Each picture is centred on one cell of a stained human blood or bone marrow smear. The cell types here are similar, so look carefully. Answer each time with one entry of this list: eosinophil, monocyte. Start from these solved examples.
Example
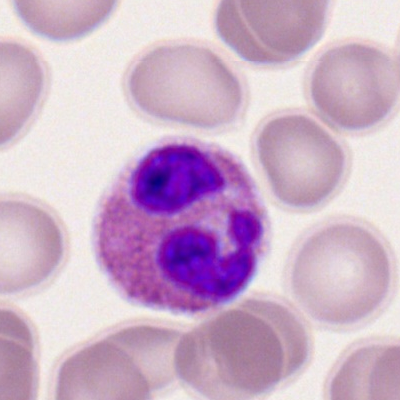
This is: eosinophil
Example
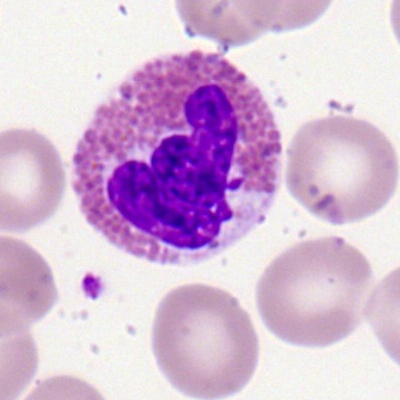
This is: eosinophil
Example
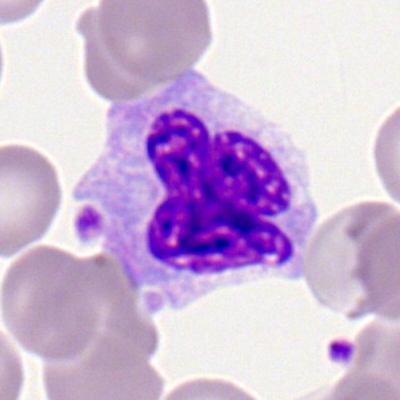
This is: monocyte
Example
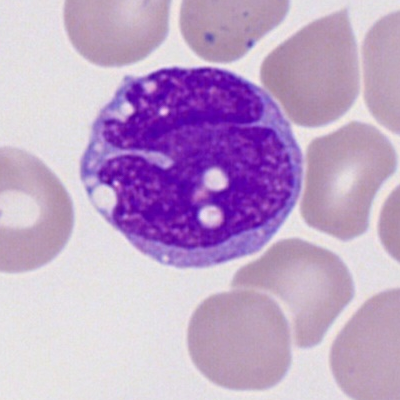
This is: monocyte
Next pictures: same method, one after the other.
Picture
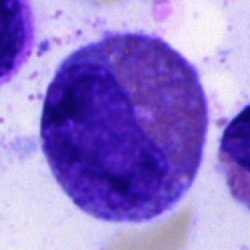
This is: eosinophil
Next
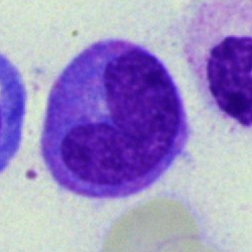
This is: monocyte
